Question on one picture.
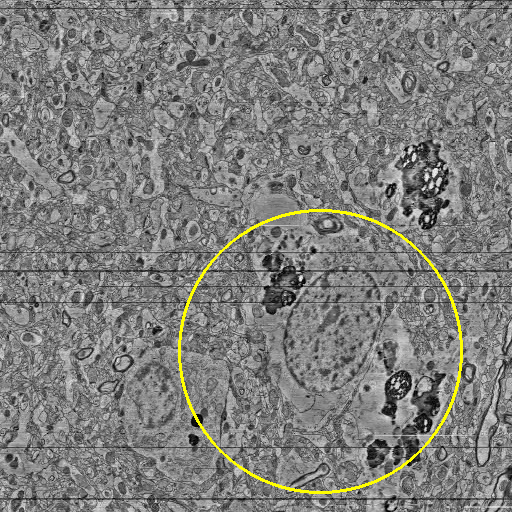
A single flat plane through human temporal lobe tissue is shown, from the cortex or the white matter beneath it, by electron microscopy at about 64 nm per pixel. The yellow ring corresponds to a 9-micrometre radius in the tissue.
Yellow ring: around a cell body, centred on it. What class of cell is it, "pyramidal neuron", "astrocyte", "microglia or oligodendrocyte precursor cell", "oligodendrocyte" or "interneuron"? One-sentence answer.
This is an astrocyte, the cell the ring is centred on.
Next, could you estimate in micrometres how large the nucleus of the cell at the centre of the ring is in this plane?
In this plane, the nucleus is roughly 9 by 6 micrometres.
